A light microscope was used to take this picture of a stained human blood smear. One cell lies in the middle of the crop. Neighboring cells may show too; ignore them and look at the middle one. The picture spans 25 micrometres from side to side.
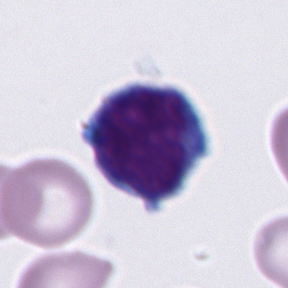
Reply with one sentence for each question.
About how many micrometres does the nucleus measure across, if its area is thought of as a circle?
The diameter of the nucleus comes to about 9 micrometres.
